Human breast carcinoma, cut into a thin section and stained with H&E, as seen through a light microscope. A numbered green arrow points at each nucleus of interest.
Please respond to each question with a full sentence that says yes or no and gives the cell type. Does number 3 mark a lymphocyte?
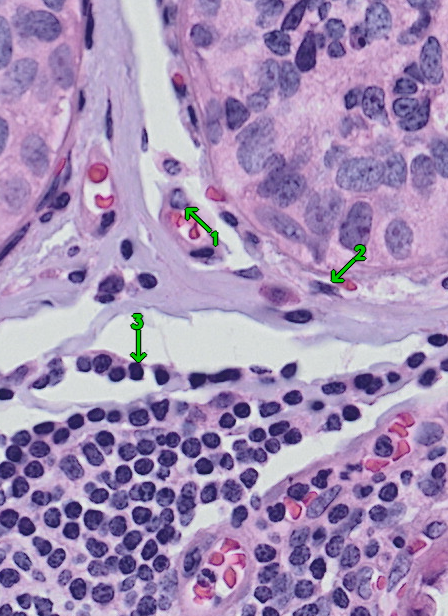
Yes, the cell tagged with number 3 is a lymphocyte.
